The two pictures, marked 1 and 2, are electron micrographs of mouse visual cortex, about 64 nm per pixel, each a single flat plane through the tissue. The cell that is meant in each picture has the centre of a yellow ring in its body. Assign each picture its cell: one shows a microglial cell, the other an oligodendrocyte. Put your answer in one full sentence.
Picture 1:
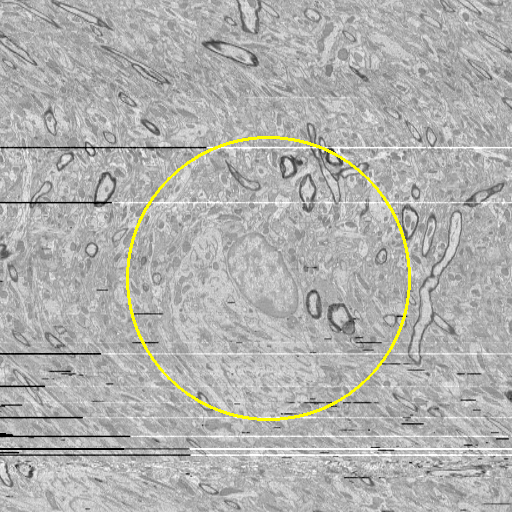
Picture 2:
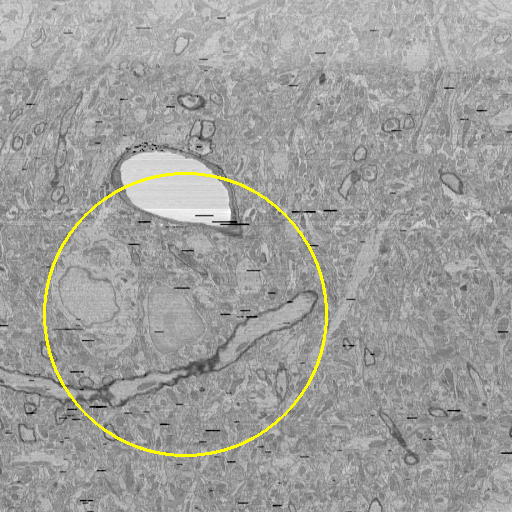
It is picture 1 that shows an oligodendrocyte, and picture 2 that shows a microglial cell.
